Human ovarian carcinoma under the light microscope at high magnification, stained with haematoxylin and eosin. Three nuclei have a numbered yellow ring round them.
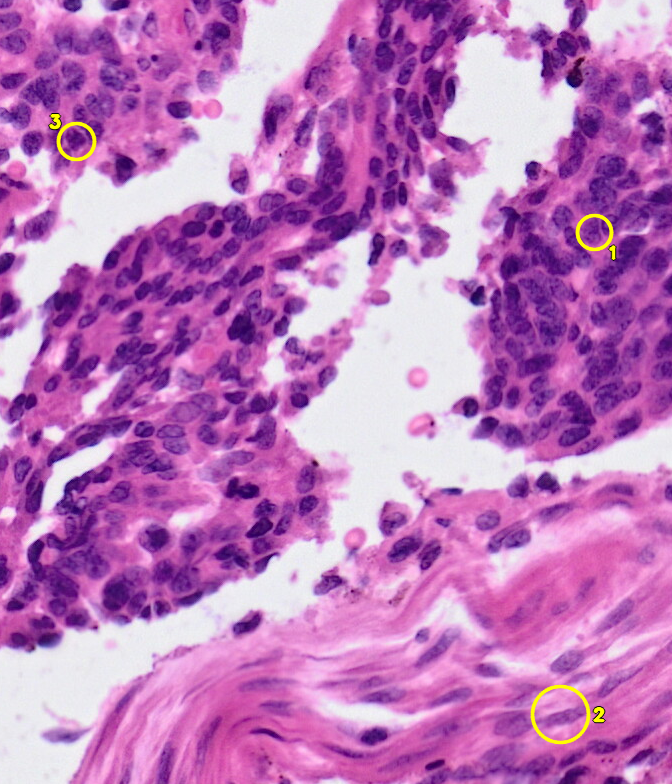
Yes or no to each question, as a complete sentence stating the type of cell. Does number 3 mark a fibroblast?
No, the cell bearing the number 3 is a carcinoma cell, not a fibroblast.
